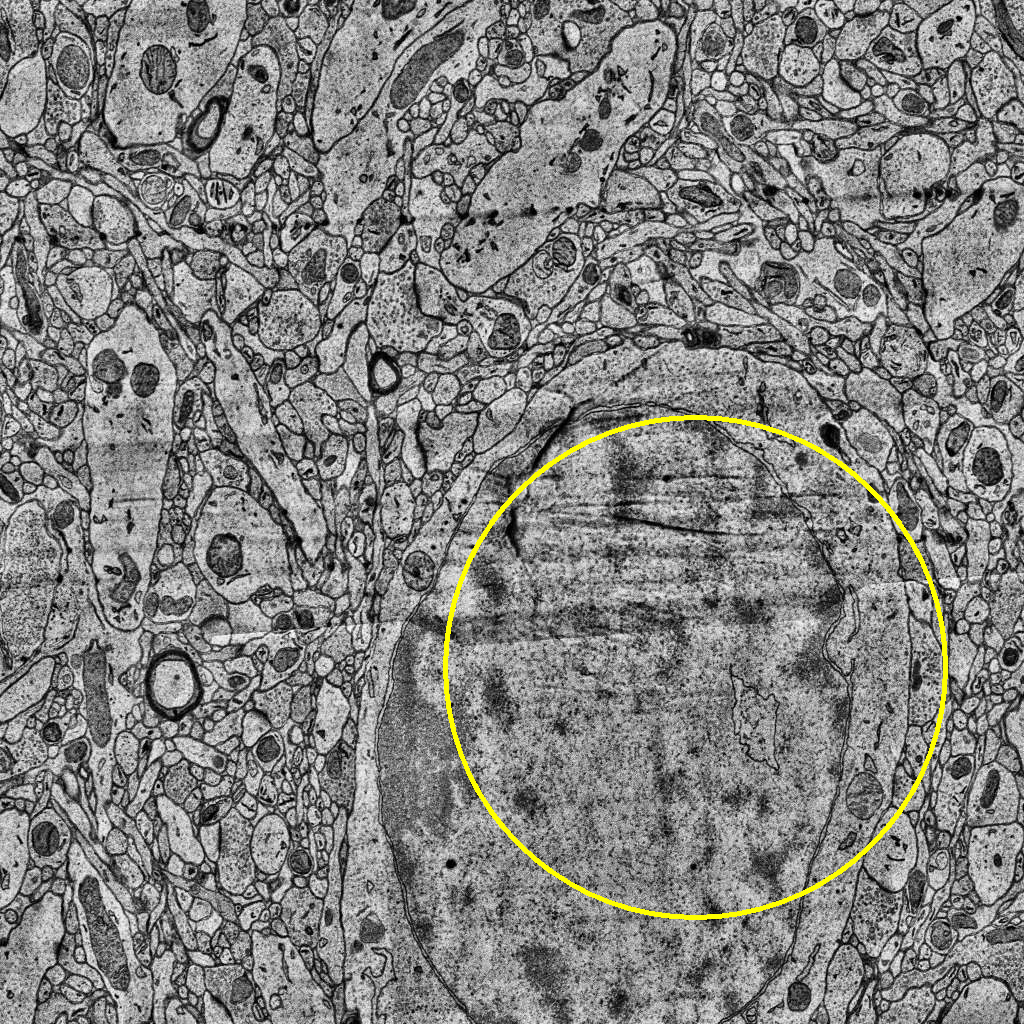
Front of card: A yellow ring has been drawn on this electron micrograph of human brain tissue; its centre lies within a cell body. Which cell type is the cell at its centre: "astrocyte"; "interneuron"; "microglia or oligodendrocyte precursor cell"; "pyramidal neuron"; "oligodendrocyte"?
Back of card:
interneuron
